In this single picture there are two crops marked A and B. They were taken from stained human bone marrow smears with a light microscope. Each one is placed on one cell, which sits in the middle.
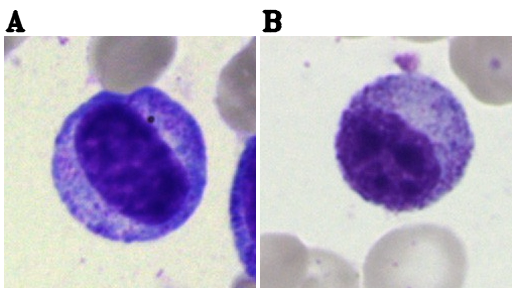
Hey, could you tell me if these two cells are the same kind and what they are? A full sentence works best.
Yes, both crops show myelocytes, to put it briefly.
